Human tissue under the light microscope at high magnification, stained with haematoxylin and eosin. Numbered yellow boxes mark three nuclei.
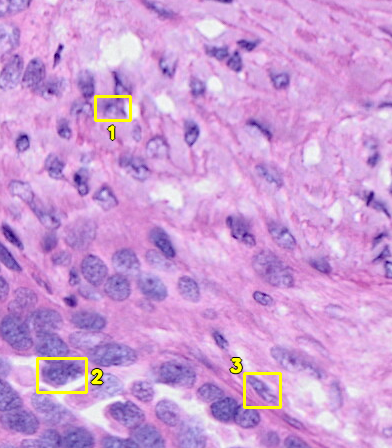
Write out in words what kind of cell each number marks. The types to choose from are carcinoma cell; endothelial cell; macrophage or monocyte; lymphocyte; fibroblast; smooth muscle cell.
Cell 1 is a fibroblast, cell 2 is a carcinoma cell and cell 3 is a fibroblast.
